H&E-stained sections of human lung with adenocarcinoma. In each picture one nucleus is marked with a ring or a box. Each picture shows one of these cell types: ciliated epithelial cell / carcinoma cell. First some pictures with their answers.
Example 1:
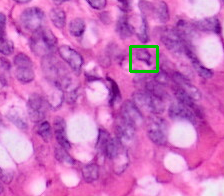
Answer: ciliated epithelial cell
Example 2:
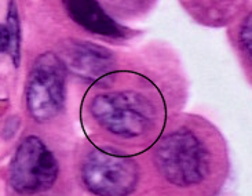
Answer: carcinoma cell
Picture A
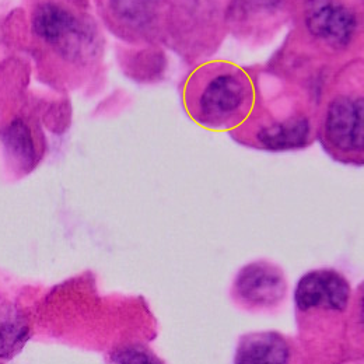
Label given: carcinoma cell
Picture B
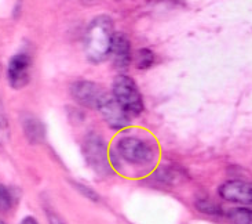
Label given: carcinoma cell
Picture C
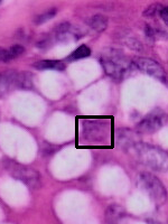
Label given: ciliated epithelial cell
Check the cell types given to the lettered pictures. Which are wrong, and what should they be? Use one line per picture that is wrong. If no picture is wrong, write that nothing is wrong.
B: ciliated epithelial cell, not carcinoma cell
